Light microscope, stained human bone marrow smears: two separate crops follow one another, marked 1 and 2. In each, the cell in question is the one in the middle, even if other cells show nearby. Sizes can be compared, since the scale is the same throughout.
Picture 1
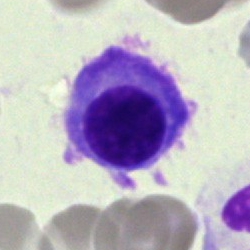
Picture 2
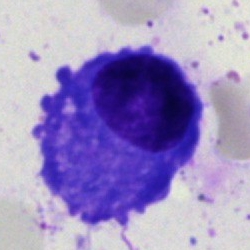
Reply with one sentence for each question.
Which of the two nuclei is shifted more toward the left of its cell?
Seen within its cell, the nucleus in picture 1 lies further toward the left.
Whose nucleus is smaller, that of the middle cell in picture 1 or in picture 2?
The nucleus in picture 1 is smaller; the one in picture 2 has about 1.5 times its area.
